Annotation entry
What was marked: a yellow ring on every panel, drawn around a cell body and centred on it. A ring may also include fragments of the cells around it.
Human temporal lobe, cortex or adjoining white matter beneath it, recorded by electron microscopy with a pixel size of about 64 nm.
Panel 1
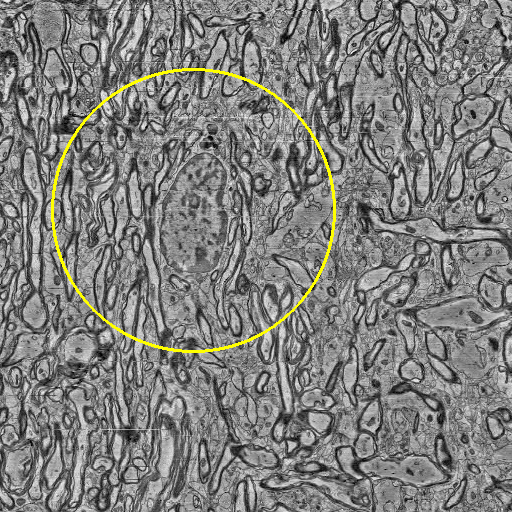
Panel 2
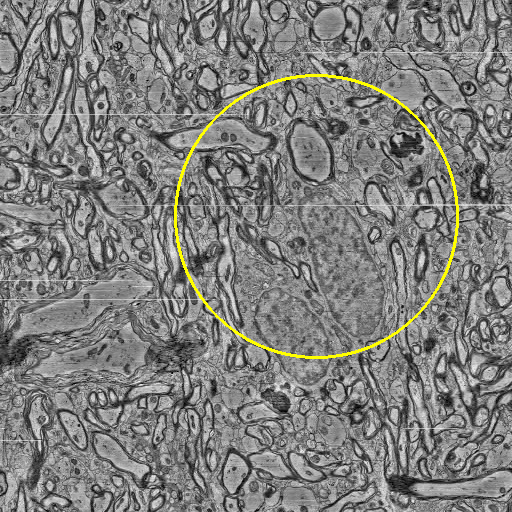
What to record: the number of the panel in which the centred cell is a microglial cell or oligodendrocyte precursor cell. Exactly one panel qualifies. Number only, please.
1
